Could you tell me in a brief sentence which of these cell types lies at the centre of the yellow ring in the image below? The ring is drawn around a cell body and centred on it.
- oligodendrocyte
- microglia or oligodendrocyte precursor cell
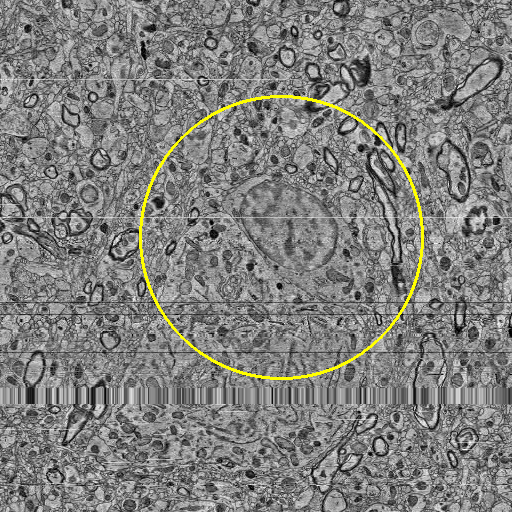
The cell centred in the ring is an oligodendrocyte.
